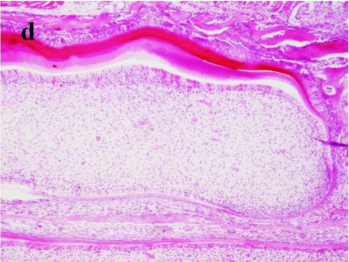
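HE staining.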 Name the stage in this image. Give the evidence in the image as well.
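A thick, intensely pink band of hard tissue caps the pulp. The pulp beneath is large and loosely cellular. So: secretory stage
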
